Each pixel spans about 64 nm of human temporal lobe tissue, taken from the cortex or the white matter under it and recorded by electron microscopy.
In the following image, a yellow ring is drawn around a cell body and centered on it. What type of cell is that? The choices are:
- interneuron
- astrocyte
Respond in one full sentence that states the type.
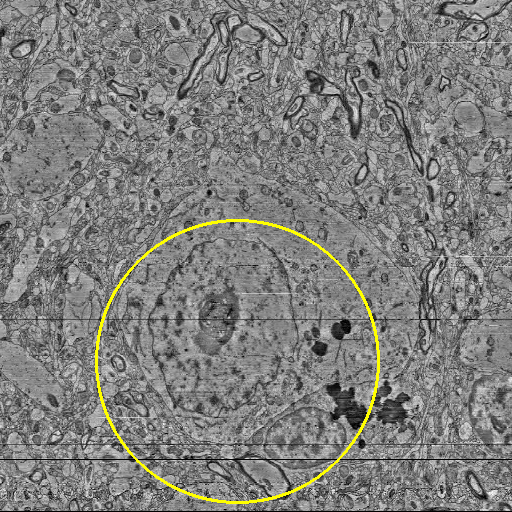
The cell at the center of the yellow ring in the image is an interneuron.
